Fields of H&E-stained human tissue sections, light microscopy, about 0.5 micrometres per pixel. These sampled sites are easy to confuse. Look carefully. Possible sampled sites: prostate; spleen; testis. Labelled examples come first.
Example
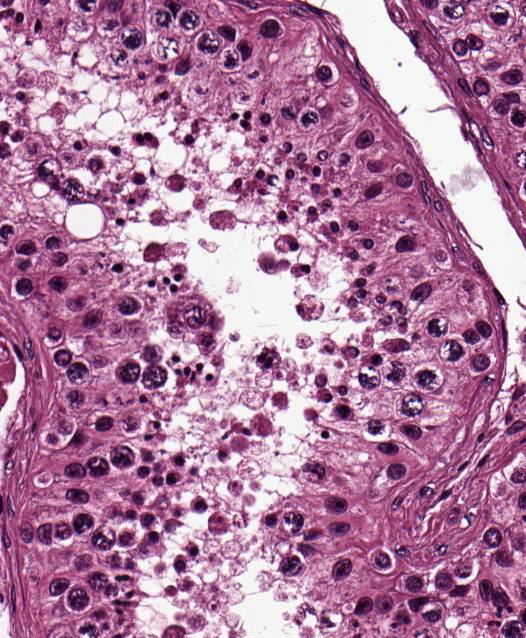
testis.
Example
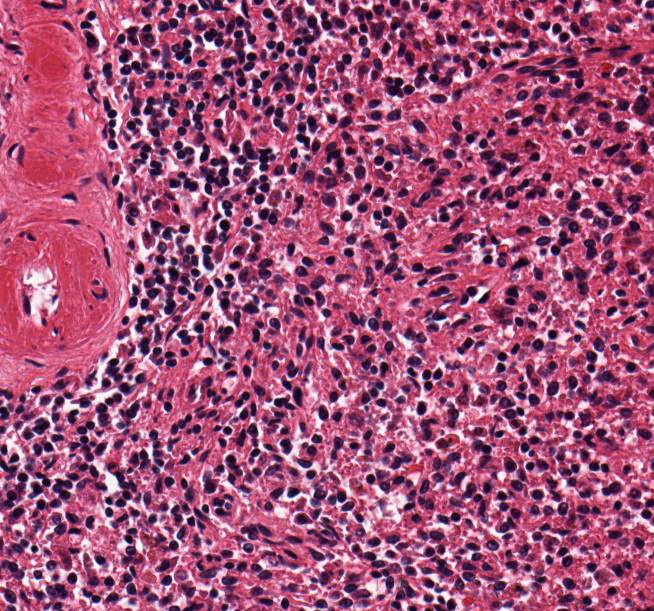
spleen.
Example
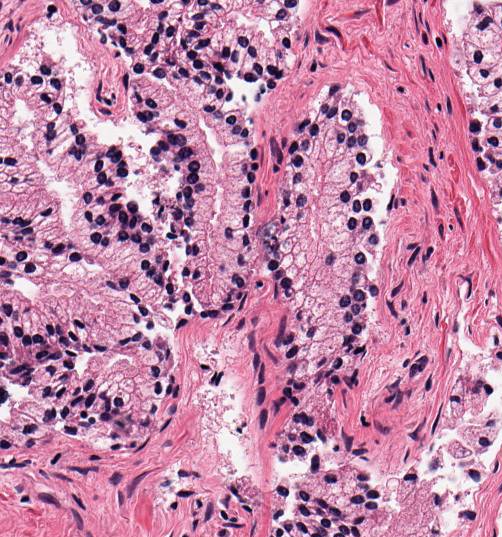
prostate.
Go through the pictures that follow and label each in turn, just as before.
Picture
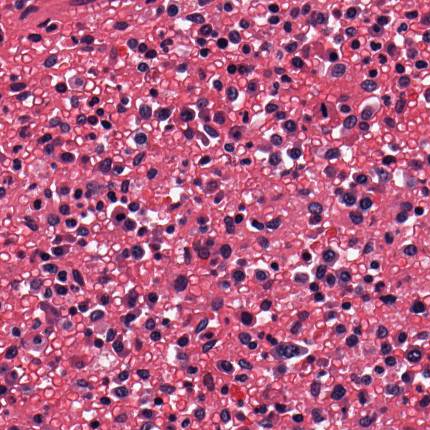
spleen.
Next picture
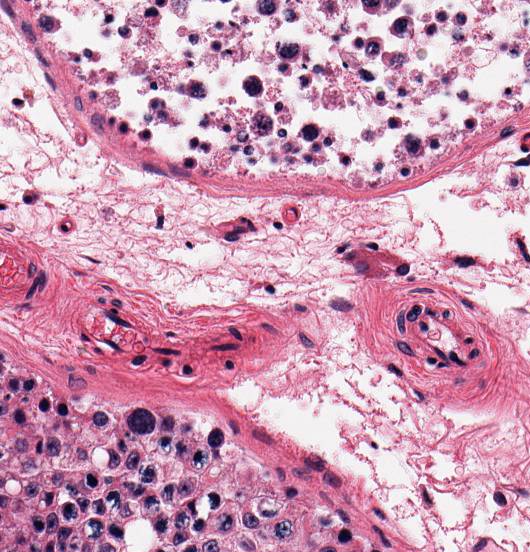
testis.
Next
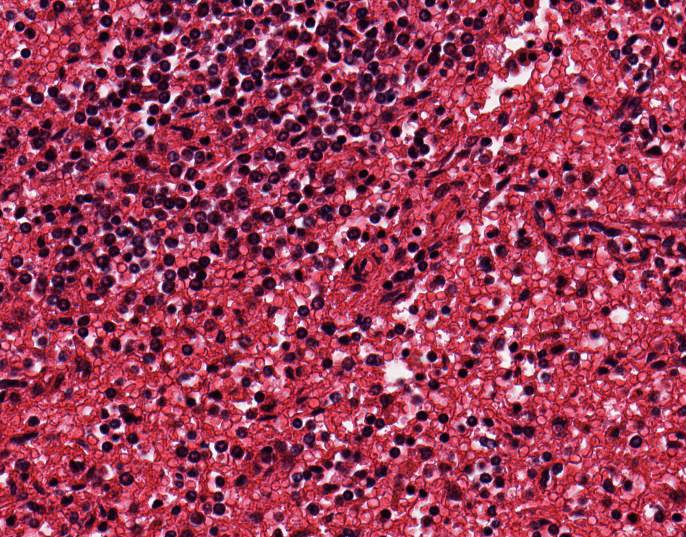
spleen.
